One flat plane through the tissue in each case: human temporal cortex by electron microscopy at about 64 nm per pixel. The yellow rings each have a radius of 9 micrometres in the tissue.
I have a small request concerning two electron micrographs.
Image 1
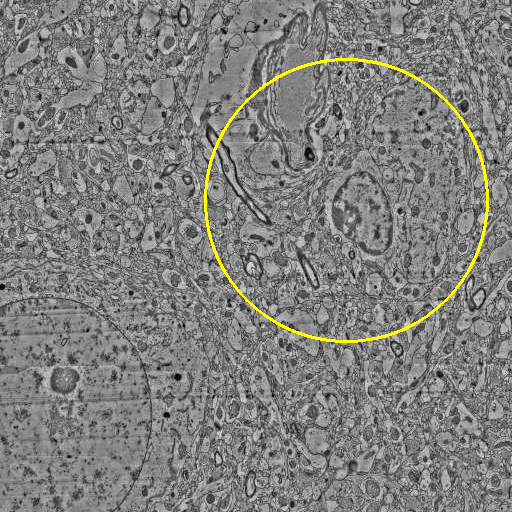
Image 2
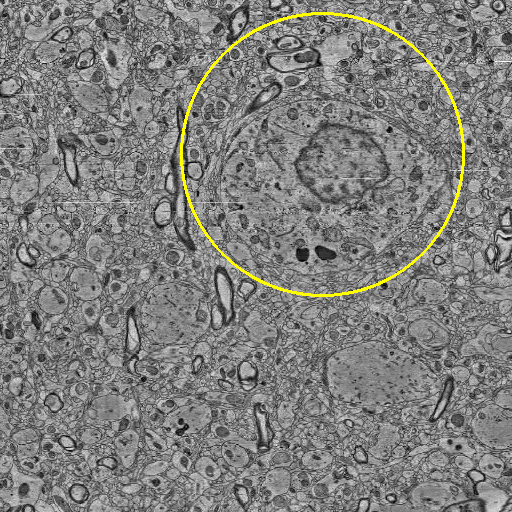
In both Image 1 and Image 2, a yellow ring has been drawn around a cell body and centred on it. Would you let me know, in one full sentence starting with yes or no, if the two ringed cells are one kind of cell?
No, the cells ringed in Image 1 and Image 2 are two kinds of cell.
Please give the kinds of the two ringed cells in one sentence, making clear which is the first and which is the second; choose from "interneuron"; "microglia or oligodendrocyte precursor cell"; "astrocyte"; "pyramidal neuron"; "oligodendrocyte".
In the second picture the ringed cell is a pyramidal neuron; in the first it is a microglial cell or oligodendrocyte precursor cell.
